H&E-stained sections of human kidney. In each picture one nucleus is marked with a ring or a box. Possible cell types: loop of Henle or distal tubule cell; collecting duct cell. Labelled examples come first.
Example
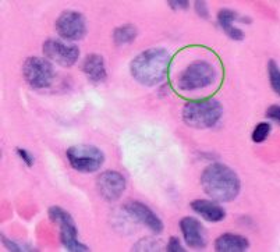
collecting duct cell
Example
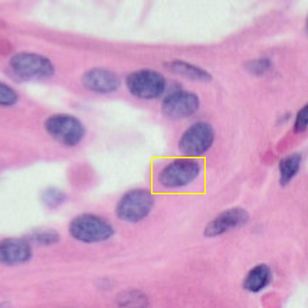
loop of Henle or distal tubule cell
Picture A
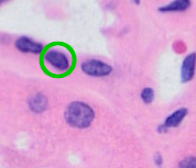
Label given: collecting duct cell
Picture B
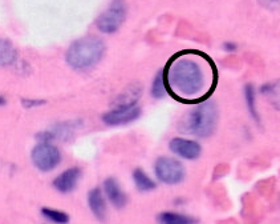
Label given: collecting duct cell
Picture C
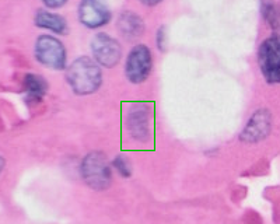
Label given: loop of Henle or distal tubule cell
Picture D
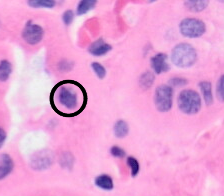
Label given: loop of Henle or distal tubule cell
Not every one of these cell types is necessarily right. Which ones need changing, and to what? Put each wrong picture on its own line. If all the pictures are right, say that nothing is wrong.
Nothing to fix; every label fits.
